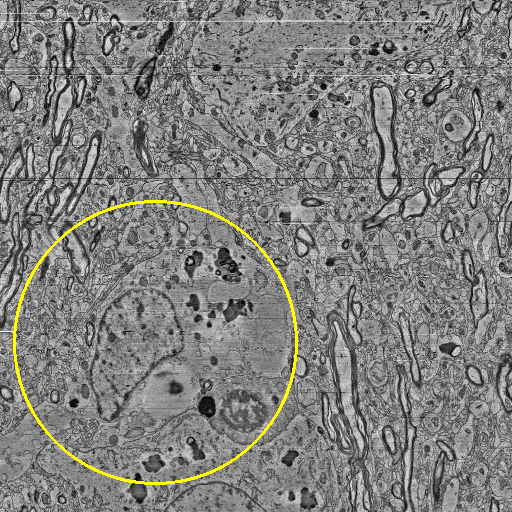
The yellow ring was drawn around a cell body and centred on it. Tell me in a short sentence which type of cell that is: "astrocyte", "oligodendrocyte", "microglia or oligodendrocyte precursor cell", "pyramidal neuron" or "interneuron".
The cell at the ring's centre is an astrocyte.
